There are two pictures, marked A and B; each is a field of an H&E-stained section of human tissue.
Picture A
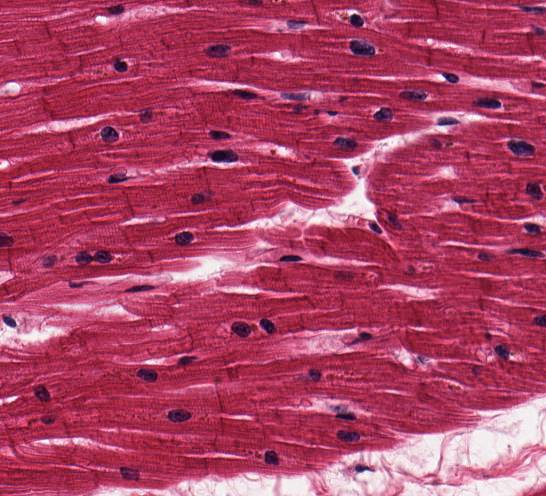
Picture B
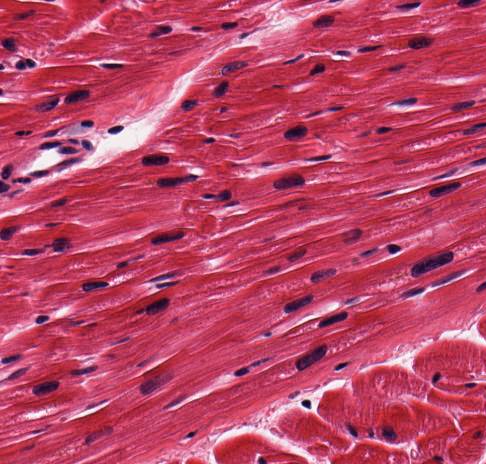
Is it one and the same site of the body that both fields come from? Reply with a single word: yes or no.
yes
